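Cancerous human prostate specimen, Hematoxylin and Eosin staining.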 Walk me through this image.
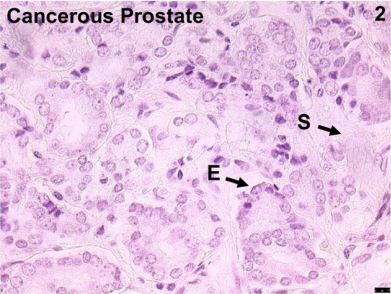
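The field is crowded with many small gland-like structures, packed close together with only thin strands of pale pink stroma between them. The cells lining them have round to oval, pale, vesicular nuclei that are larger and more open than in normal lining cells, and a pale pink cytoplasm.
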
